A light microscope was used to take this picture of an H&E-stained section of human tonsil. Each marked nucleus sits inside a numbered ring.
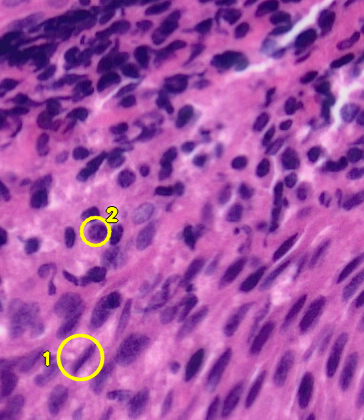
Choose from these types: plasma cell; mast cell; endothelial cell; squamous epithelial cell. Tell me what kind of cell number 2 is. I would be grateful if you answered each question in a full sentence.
Numbered cell 2 is a plasma cell in this tissue section.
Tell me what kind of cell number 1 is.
Number 1 is placed on a squamous epithelial cell here.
